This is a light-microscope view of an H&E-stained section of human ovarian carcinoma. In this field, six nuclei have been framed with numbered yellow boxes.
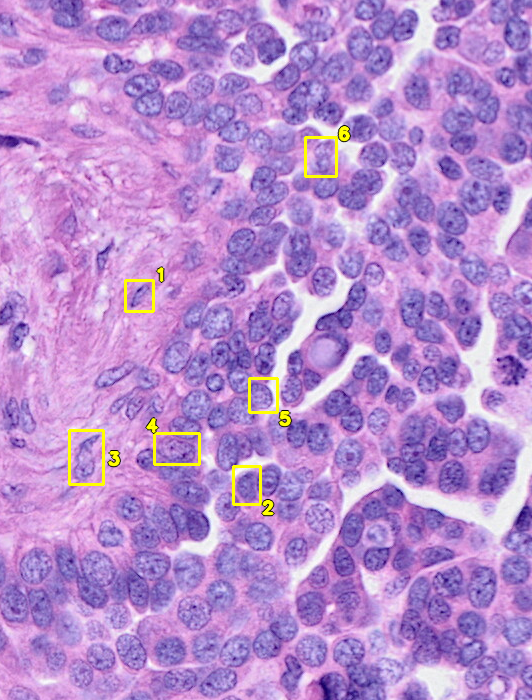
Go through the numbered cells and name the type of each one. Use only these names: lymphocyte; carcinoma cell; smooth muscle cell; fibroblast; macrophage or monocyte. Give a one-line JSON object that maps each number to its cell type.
{"1": "fibroblast", "2": "carcinoma cell", "3": "fibroblast", "4": "carcinoma cell", "5": "carcinoma cell", "6": "carcinoma cell"}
